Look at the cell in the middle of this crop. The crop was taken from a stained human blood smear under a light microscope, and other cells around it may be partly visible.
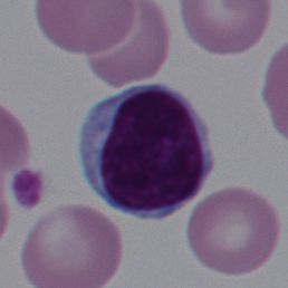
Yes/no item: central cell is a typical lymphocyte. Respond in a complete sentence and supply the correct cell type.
Yes, in this crop the cell in the middle is a typical lymphocyte.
